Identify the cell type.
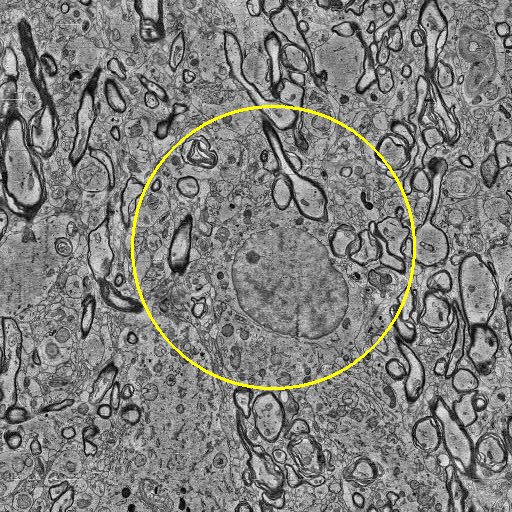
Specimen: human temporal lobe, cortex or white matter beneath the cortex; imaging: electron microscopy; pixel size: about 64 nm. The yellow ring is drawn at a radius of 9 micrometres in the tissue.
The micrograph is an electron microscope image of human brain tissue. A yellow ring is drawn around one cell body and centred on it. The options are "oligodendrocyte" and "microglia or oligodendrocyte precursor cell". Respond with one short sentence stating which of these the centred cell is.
The cell body in the ring belongs to an oligodendrocyte.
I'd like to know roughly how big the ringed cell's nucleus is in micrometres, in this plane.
Roughly 8 micrometres across for the nucleus, in this plane.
